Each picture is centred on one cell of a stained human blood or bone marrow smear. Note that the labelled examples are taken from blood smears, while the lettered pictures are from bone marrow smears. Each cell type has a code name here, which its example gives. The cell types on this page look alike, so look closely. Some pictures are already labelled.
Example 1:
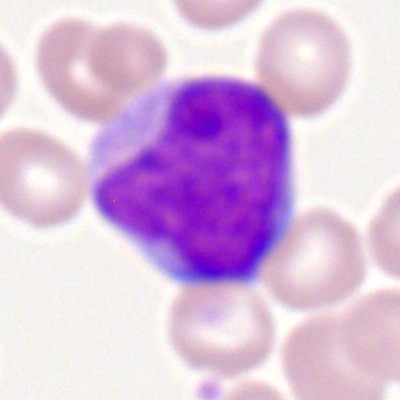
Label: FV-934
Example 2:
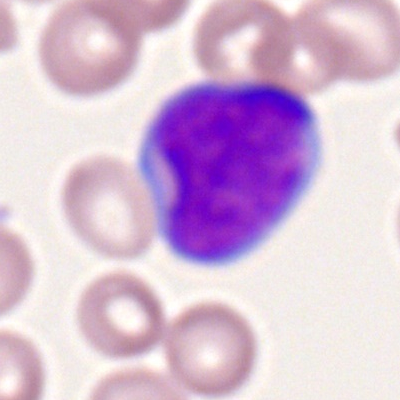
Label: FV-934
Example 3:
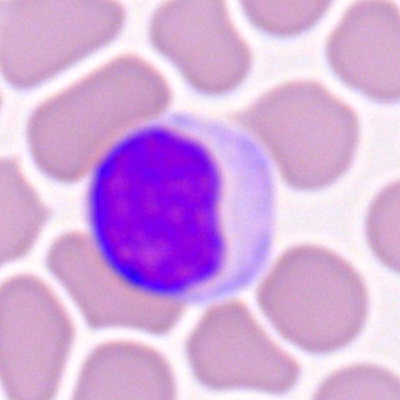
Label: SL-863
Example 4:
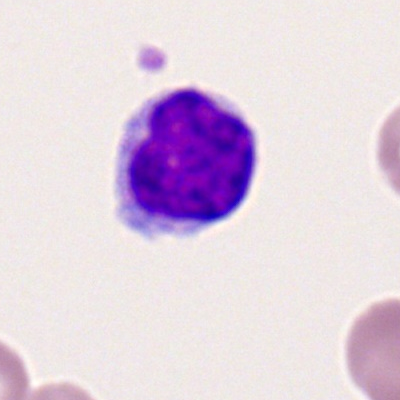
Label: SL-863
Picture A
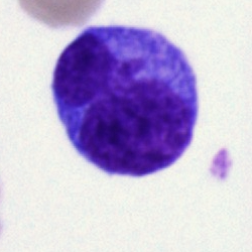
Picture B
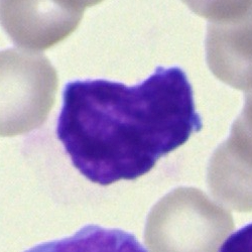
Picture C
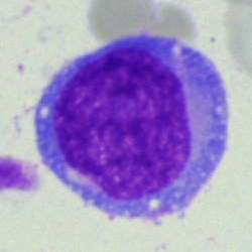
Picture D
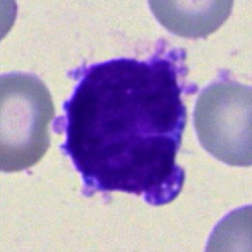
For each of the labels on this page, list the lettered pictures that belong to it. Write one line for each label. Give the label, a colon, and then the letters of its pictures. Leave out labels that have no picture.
FV-934: A, B, C, D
